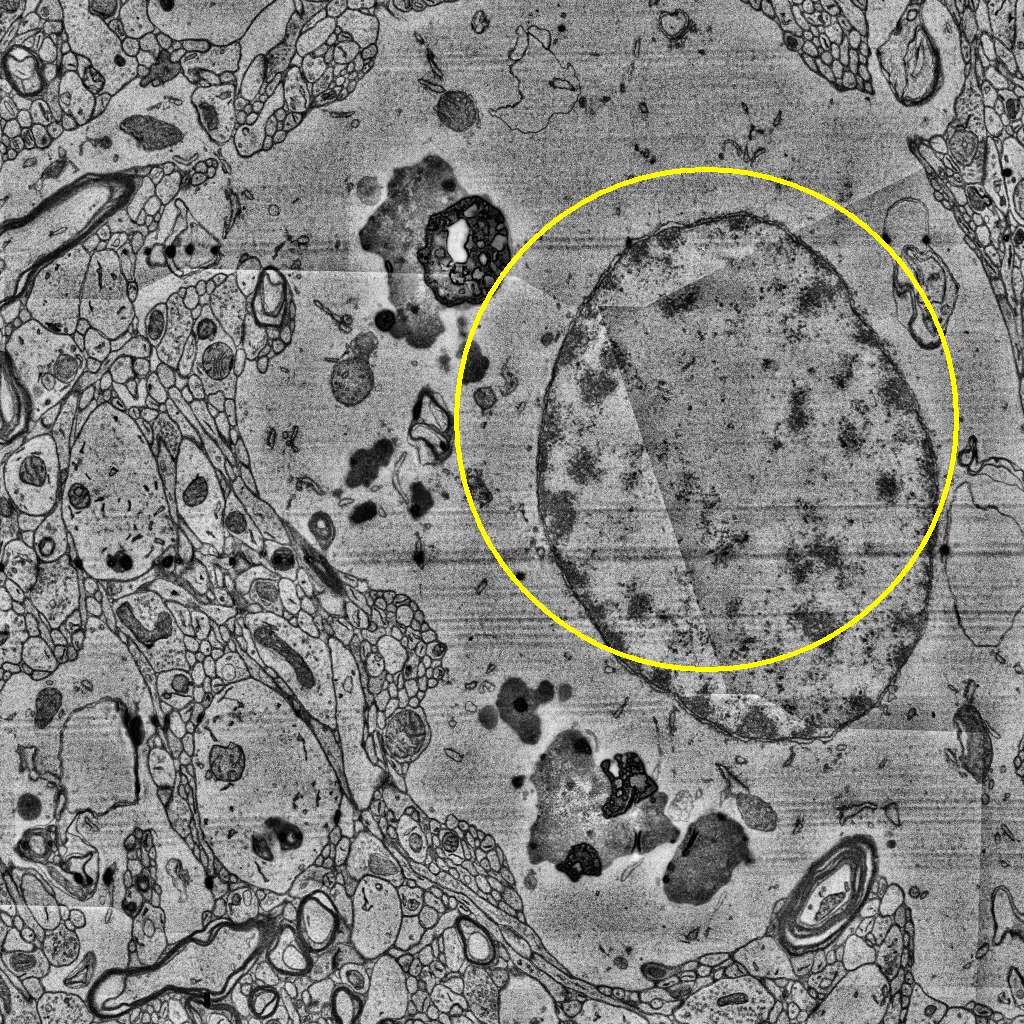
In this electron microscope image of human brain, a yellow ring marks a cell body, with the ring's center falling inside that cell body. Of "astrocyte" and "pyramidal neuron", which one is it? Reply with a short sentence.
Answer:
It is an astrocyte at the center of the ring.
